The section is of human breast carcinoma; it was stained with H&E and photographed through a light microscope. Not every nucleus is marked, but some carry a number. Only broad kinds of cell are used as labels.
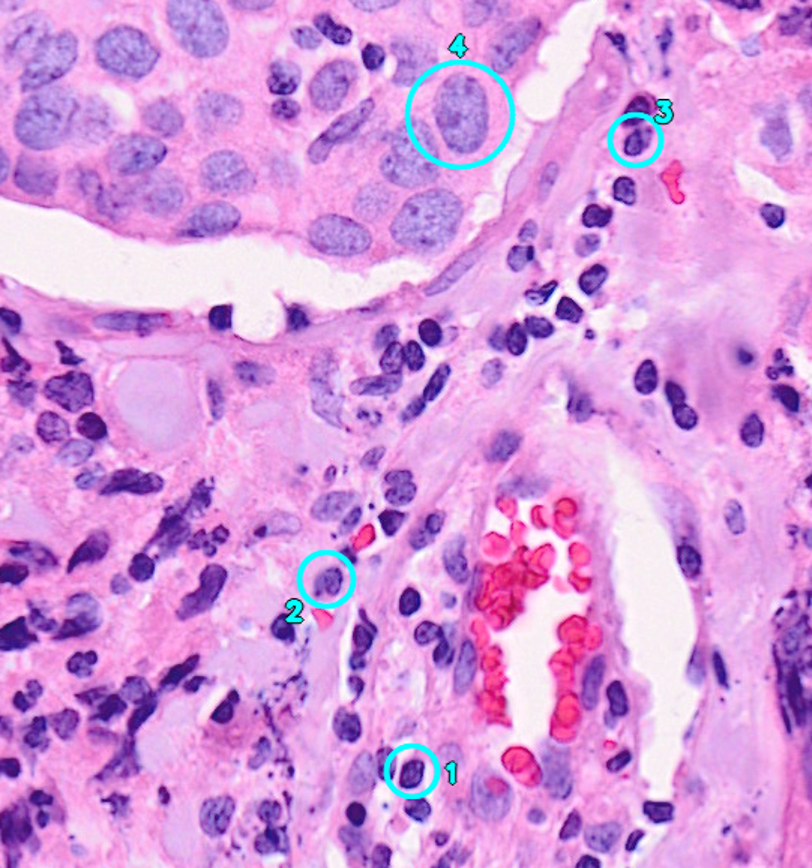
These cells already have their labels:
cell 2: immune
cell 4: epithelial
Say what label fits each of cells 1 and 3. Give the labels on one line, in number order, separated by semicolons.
immune; immune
